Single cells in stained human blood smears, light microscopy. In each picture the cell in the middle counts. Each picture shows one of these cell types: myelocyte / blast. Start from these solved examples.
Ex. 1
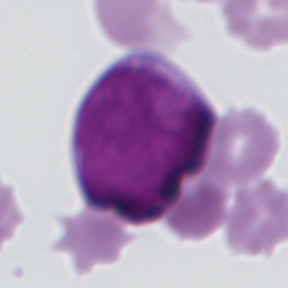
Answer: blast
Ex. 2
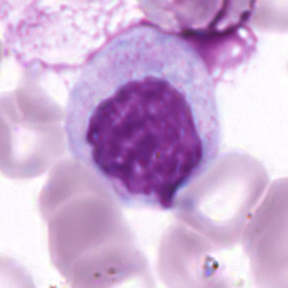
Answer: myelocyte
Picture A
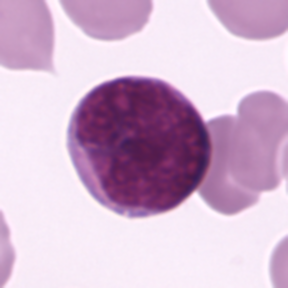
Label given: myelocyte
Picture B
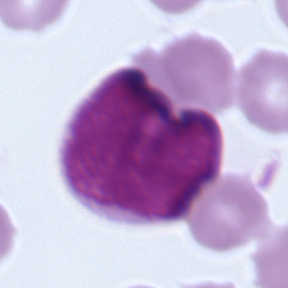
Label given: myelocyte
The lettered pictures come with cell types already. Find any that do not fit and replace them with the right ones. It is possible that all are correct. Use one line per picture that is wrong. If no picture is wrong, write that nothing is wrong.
A: not myelocyte but blast
B: not myelocyte but blast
